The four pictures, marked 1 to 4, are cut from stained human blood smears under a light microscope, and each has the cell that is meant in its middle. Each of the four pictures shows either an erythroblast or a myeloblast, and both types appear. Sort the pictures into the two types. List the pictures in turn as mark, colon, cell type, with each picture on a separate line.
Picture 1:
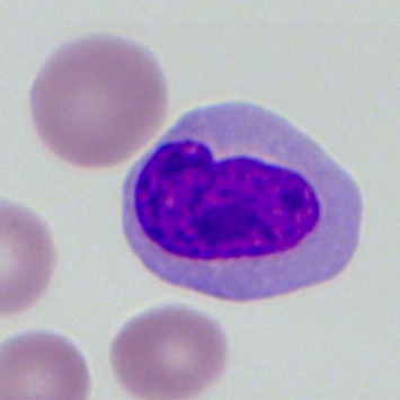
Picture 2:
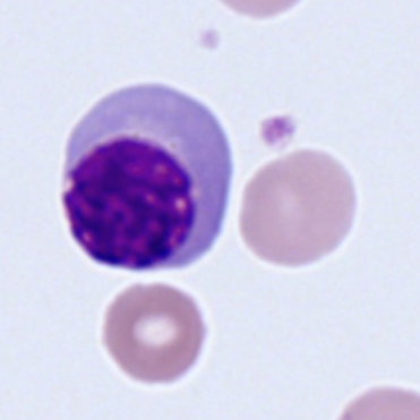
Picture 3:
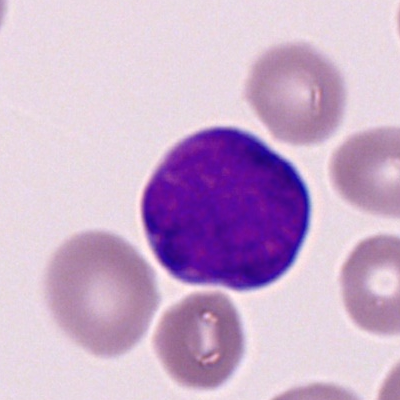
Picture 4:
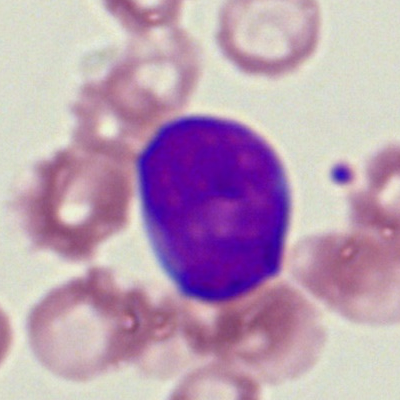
1: erythroblast
2: erythroblast
3: myeloblast
4: myeloblast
